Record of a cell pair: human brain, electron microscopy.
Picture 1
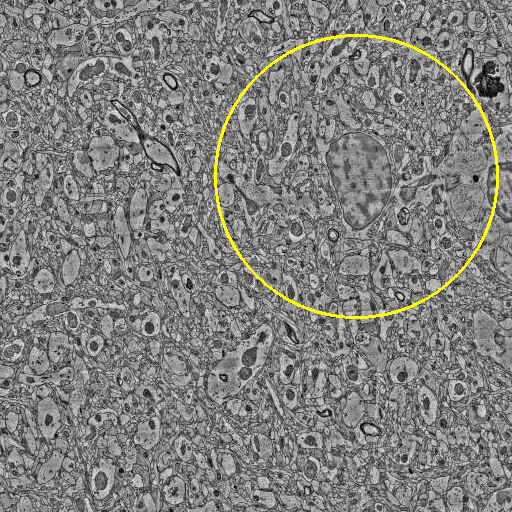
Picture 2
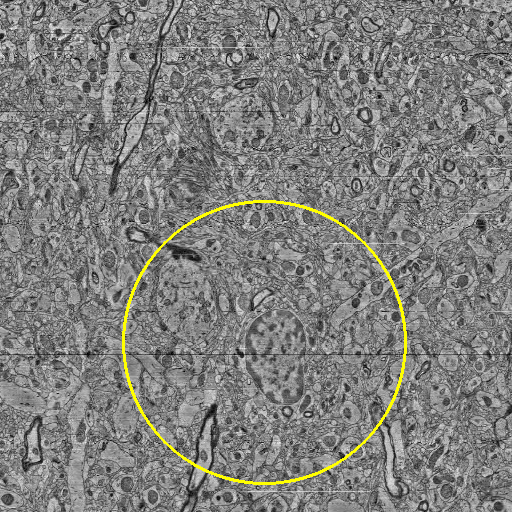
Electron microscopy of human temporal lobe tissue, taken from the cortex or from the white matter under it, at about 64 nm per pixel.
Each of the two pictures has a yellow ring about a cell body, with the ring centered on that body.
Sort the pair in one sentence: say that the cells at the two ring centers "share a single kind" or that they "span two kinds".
The cells centered in the rings of Pictures 1 and 2 share a single kind.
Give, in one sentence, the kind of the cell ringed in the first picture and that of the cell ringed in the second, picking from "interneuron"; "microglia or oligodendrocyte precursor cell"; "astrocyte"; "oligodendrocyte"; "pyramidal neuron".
Both pictures show a microglial cell or oligodendrocyte precursor cell at the centre of the ring.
